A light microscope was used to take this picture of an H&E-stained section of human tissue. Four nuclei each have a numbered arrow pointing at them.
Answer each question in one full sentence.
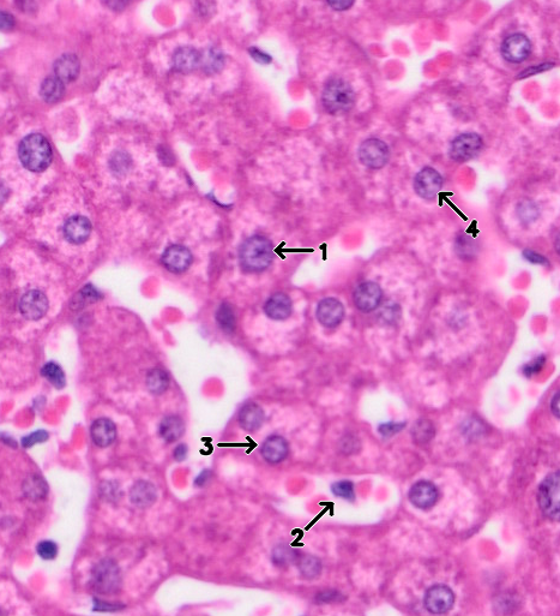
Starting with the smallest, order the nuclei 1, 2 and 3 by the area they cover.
Smallest first, the nuclei run 2, 3, 1.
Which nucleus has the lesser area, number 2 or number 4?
The smaller nucleus is 2, and 4 covers roughly 1.5 times its area.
